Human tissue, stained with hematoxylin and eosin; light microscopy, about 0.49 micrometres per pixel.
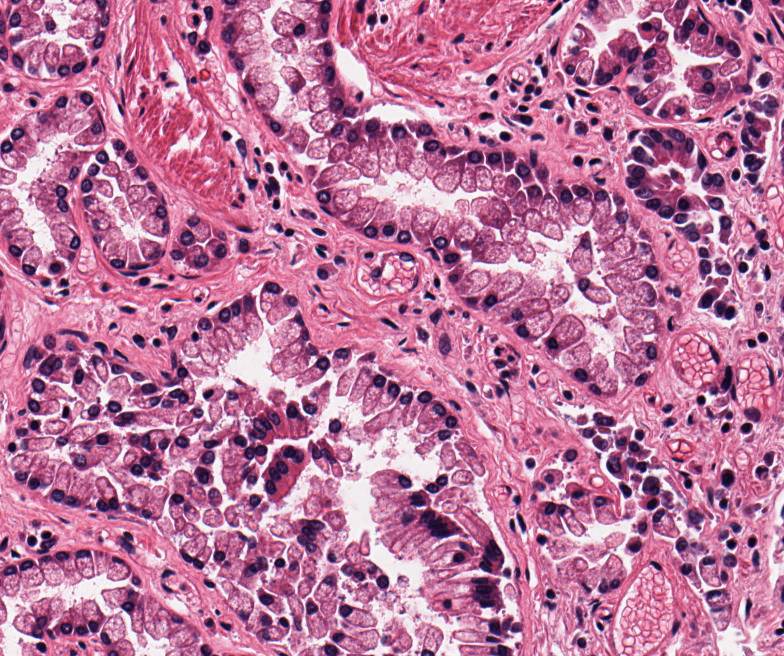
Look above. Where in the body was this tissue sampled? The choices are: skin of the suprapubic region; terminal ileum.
terminal ileum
